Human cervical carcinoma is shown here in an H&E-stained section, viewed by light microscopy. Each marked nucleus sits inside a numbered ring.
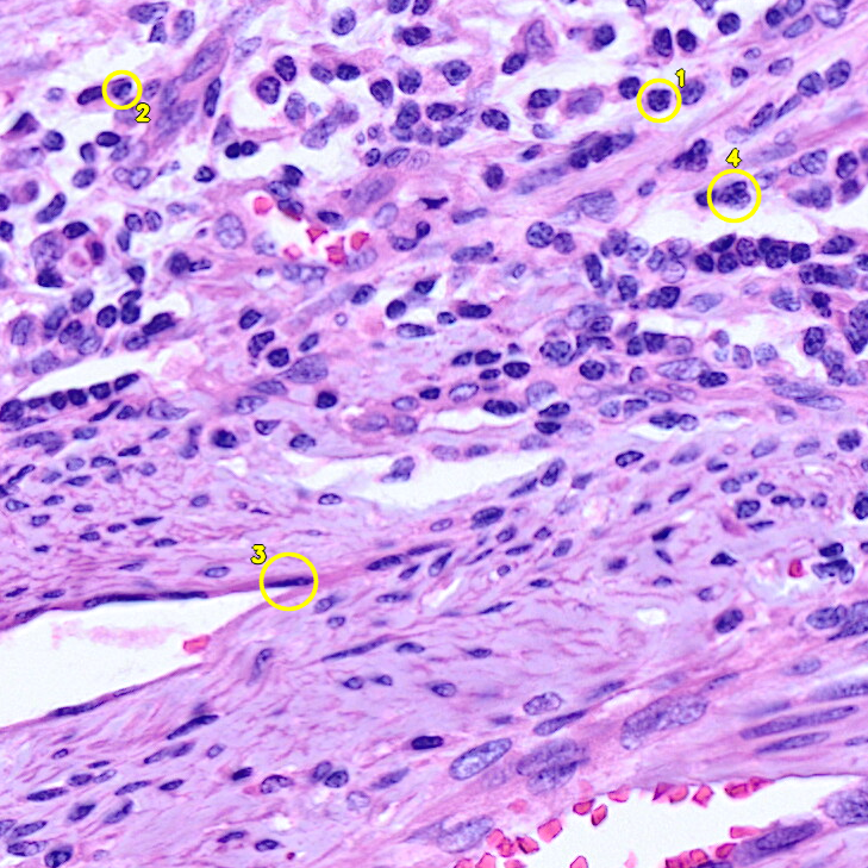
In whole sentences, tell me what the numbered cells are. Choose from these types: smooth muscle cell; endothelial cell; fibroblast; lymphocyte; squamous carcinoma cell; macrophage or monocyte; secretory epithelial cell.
Cells 1, 2 and 4 are lymphocytes. Cell 3 is an endothelial cell.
